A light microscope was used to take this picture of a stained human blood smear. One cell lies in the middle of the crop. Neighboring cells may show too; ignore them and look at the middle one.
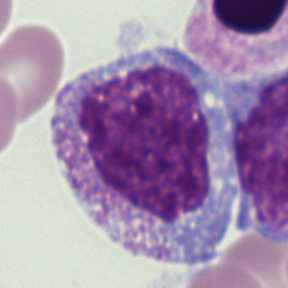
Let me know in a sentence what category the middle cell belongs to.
As for the cell in the middle, it is a promyelocyte.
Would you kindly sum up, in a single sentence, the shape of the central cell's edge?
The edge of the cell is broken up by ragged stretches or by outward projections.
